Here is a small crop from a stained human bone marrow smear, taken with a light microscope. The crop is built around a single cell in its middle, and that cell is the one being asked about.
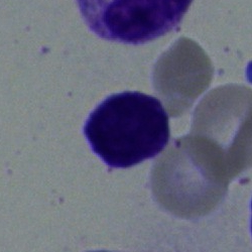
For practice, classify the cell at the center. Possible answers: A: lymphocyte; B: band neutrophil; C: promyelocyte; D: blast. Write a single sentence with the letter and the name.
Well, the cell in the middle is a lymphocyte, making option A right.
